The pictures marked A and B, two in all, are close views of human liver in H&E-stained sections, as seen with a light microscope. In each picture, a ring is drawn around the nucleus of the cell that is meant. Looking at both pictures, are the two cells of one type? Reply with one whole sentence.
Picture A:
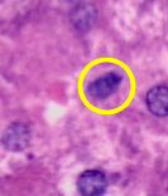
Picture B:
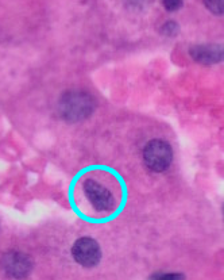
Yes, both cells are “fibroblasts or stellate cells”.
